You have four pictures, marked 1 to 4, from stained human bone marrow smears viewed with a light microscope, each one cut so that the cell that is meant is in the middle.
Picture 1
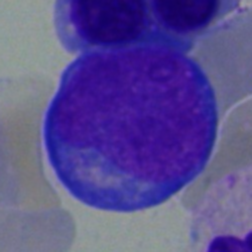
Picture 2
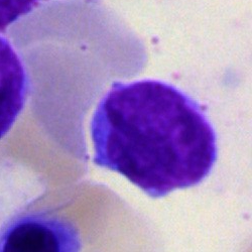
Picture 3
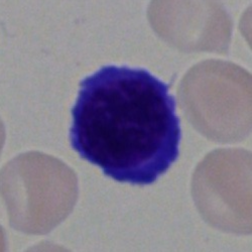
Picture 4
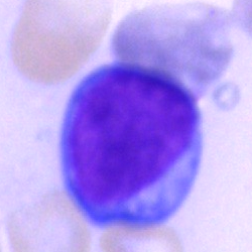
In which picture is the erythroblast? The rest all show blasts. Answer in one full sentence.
The picture with the erythroblast is 3.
